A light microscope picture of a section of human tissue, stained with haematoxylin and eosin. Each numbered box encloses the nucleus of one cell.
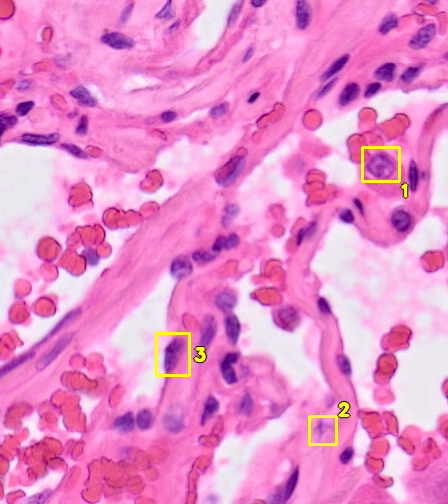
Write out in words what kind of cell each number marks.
Cell 1 is a macrophage or monocyte, cell 2 is a fibroblast and cell 3 is a type I pneumocyte.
